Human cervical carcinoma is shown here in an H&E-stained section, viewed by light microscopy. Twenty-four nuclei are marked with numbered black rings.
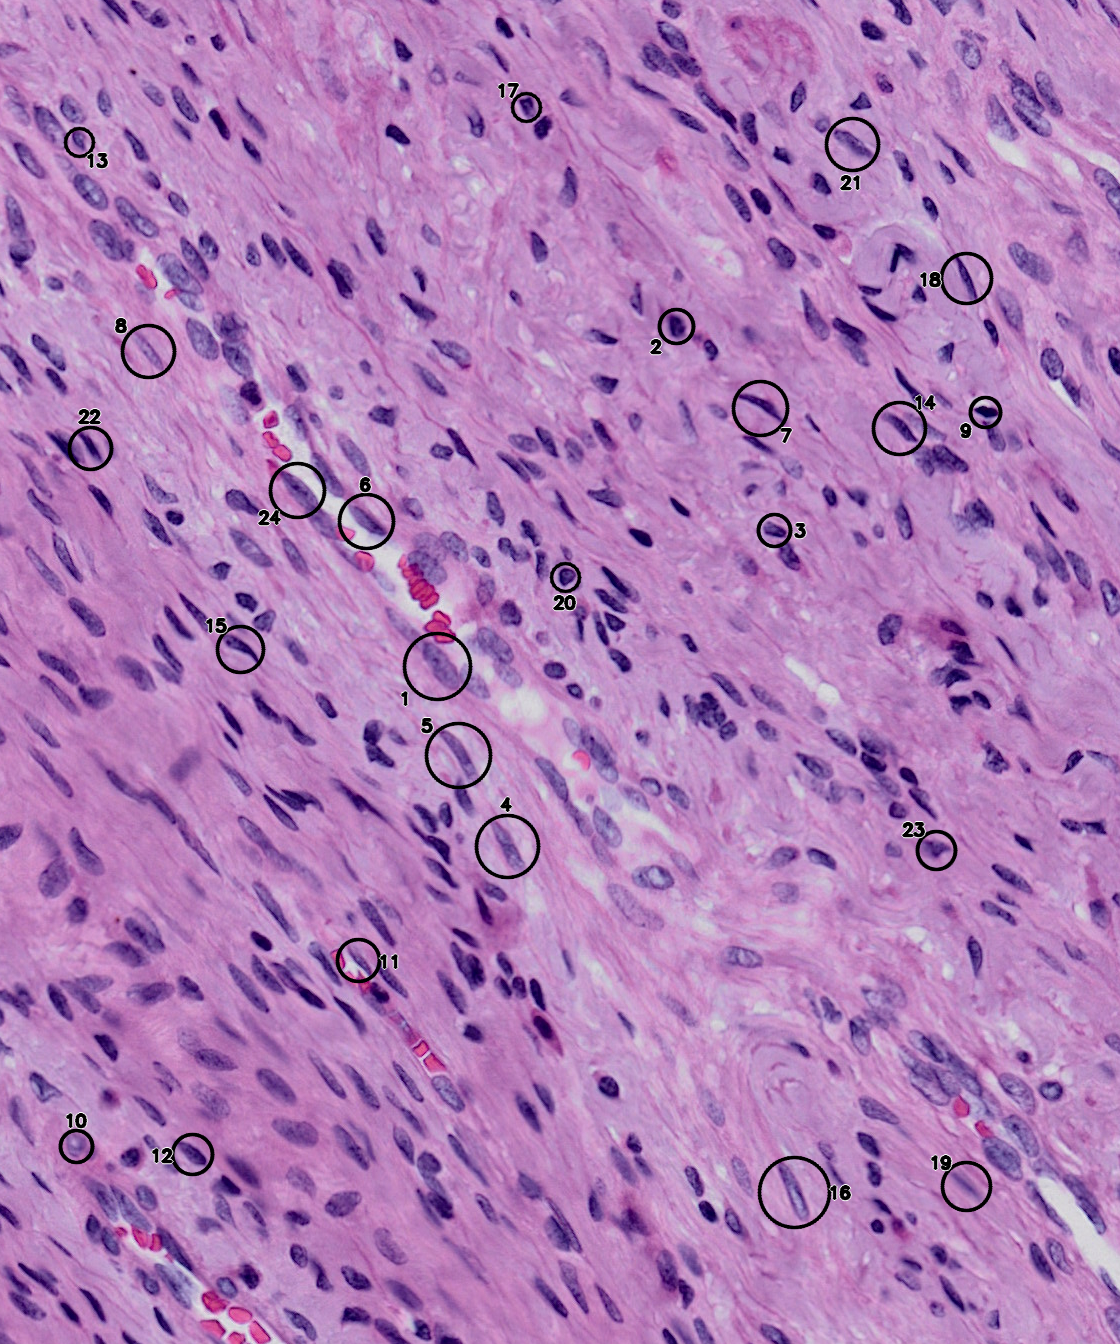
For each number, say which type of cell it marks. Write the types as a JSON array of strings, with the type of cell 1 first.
["endothelial cell", "lymphocyte", "lymphocyte", "smooth muscle cell", "smooth muscle cell", "endothelial cell", "fibroblast", "smooth muscle cell", "lymphocyte", "smooth muscle cell", "endothelial cell", "fibroblast", "smooth muscle cell", "fibroblast", "fibroblast", "smooth muscle cell", "fibroblast", "fibroblast", "smooth muscle cell", "fibroblast", "fibroblast", "fibroblast", "fibroblast", "endothelial cell"]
